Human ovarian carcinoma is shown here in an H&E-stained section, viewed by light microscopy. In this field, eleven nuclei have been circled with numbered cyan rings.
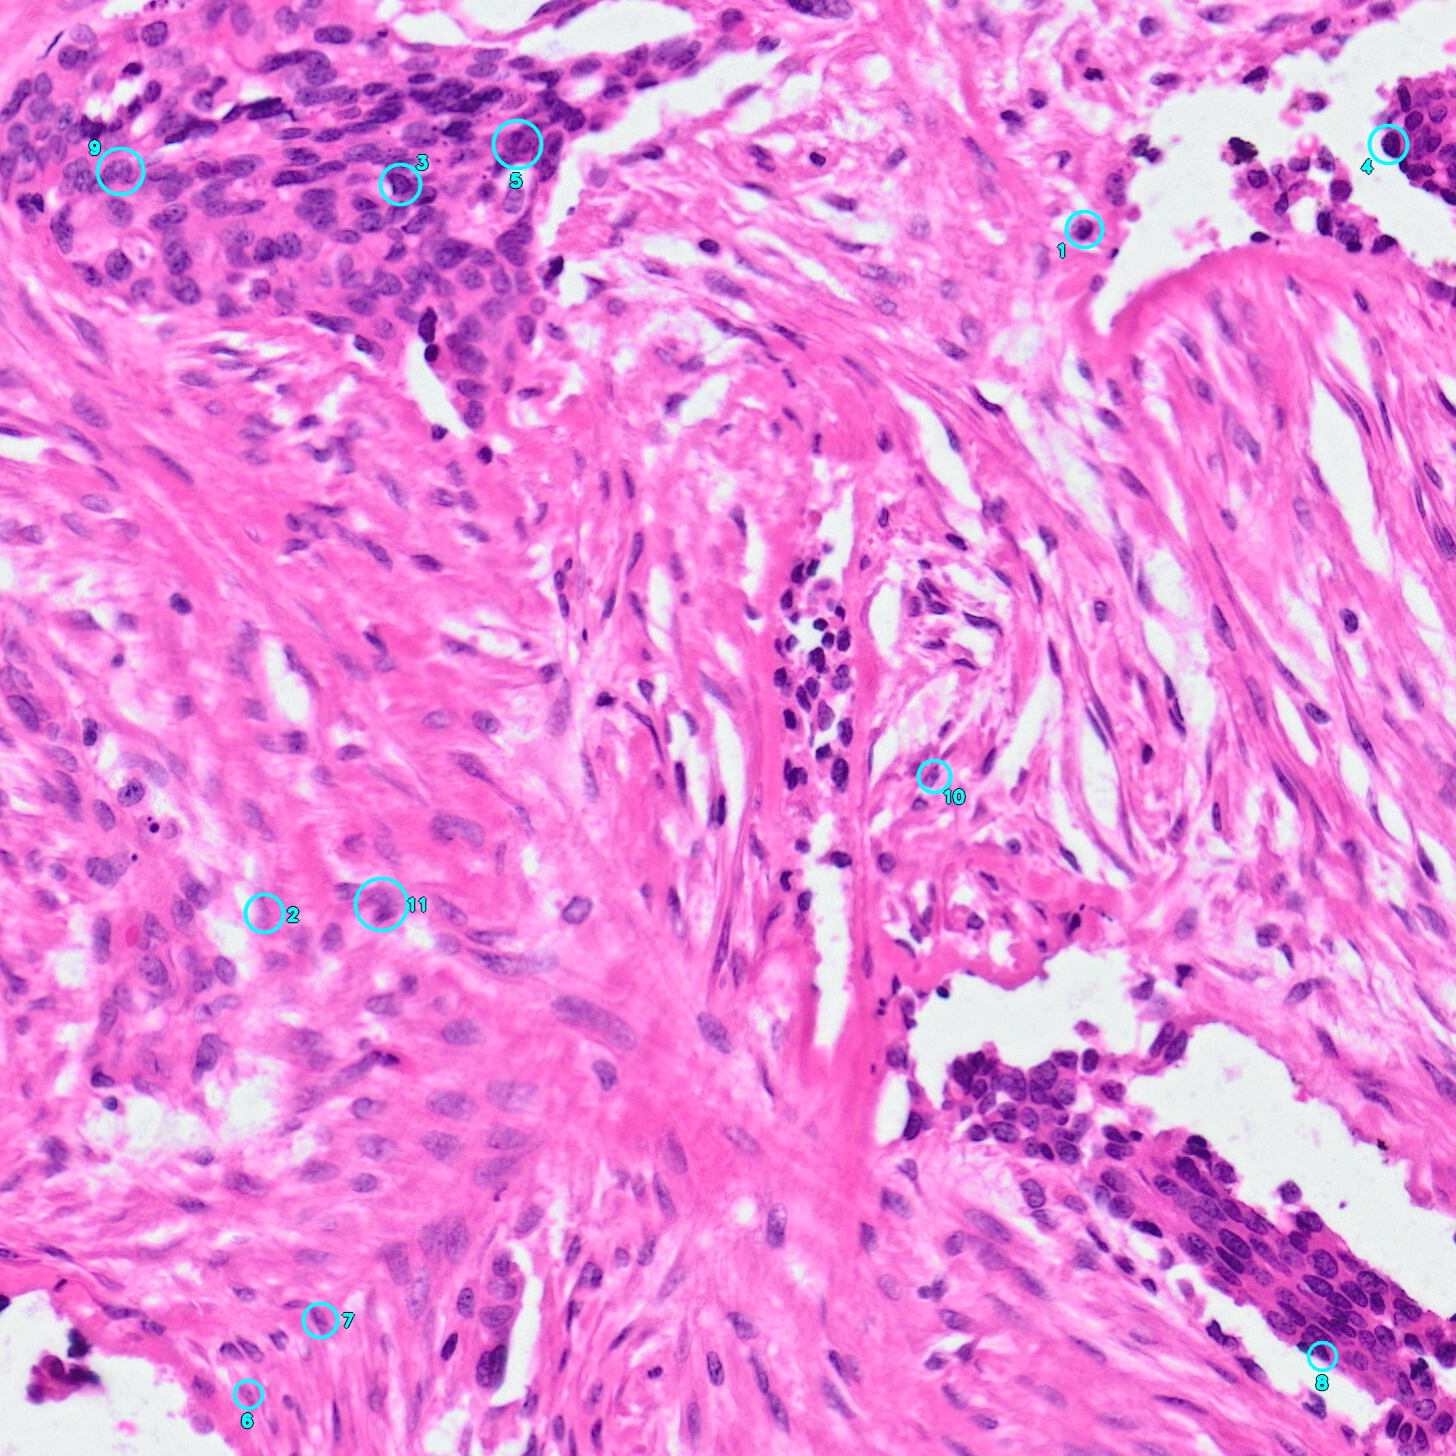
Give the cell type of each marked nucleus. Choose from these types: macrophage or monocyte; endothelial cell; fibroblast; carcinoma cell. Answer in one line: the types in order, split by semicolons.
fibroblast; fibroblast; carcinoma cell; carcinoma cell; carcinoma cell; fibroblast; fibroblast; carcinoma cell; carcinoma cell; fibroblast; fibroblast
